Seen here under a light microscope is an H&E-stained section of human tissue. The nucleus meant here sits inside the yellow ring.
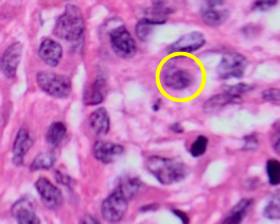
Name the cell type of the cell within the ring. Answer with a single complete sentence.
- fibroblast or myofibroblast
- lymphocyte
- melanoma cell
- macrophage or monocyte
In cell-type terms, the cell within the ring is a melanoma cell.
